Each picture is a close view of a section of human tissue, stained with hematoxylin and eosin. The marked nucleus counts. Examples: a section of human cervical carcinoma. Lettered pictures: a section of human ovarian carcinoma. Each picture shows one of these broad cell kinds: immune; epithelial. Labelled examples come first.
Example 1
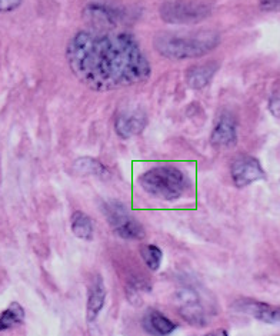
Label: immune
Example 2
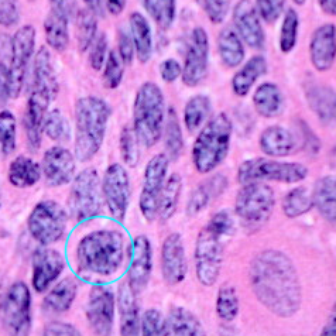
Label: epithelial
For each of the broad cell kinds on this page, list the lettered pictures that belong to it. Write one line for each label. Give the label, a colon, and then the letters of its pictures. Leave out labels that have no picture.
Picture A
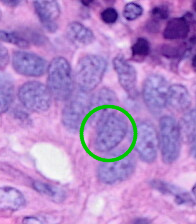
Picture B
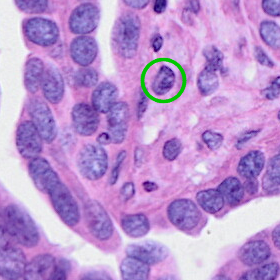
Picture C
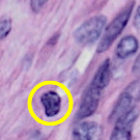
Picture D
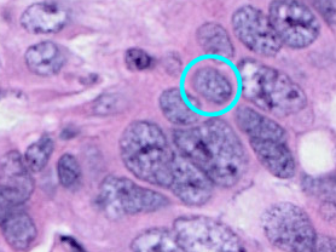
immune: B, C
epithelial: A, D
